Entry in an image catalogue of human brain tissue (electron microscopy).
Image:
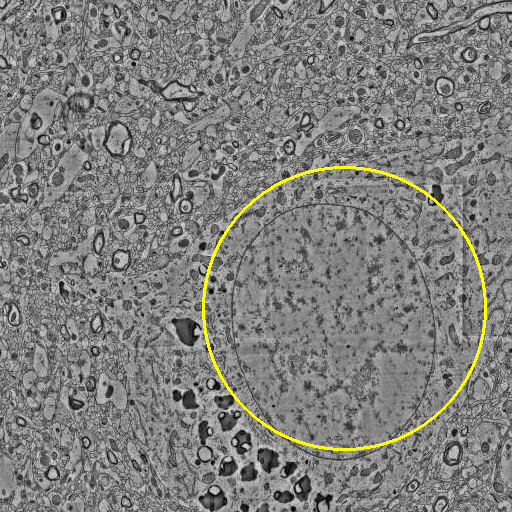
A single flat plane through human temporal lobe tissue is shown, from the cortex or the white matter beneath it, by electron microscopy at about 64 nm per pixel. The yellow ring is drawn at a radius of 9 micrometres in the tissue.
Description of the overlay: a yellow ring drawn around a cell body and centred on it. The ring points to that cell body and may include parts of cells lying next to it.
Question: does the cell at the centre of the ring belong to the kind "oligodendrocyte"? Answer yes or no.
no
